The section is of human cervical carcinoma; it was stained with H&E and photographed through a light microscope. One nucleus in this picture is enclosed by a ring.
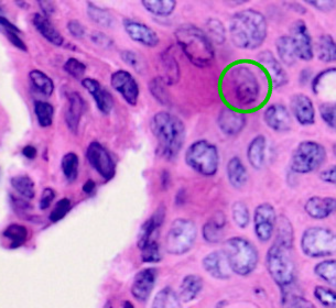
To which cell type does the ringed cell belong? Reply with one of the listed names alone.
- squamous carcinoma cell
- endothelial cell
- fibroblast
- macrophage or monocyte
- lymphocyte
squamous carcinoma cell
